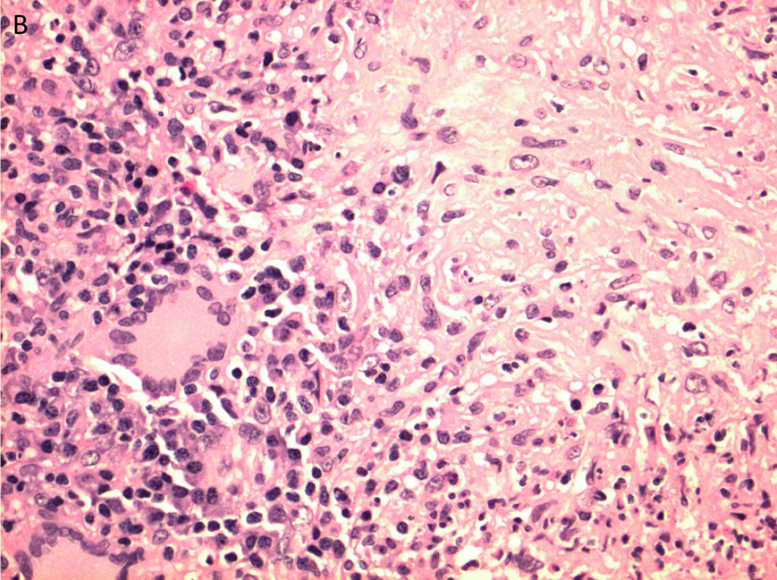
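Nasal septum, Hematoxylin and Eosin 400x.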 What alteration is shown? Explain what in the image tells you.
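Necrotizing granulomatous inflammation. Pale pink area with sparse cells on the right. Crowded small dark nuclei on the left. Cells with oval, pale nuclei and pink cytoplasm between the two areas.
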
